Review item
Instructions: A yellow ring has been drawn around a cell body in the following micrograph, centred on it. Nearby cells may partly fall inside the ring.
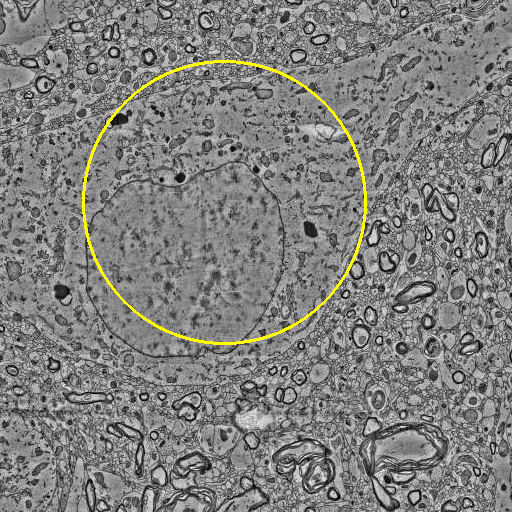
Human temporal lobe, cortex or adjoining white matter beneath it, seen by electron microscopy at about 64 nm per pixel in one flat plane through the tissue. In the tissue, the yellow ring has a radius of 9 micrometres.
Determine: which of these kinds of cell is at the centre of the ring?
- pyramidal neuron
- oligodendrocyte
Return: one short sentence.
The cell body in the middle of the ring is that of a pyramidal neuron.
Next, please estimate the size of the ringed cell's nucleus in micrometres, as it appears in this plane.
In this plane the nucleus is about 13 micrometres across.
